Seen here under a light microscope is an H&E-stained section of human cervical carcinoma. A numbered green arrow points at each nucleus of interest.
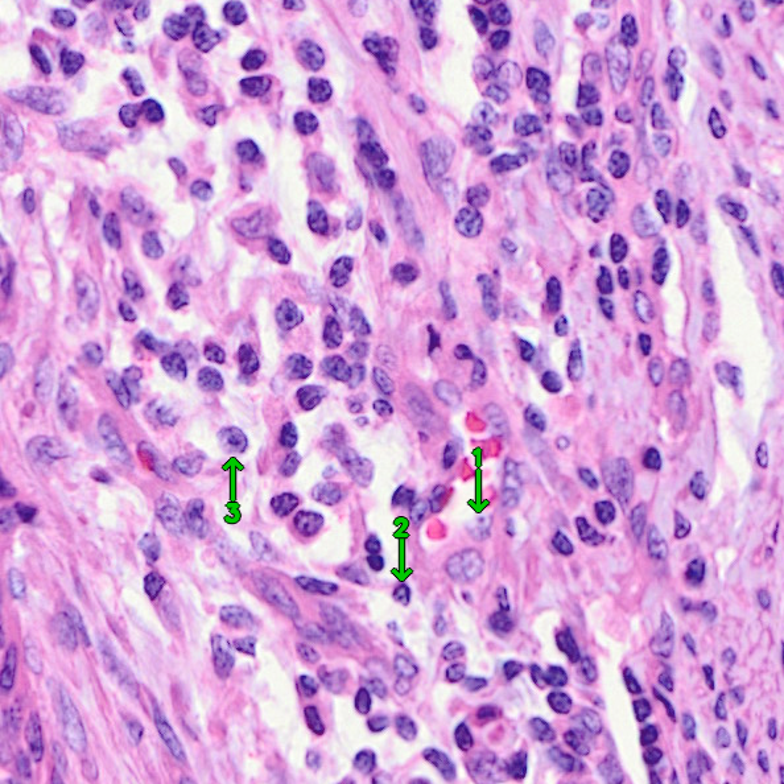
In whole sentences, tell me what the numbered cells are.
Cell 1 is an endothelial cell, cell 2 is a lymphocyte and cell 3 is a lymphocyte.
